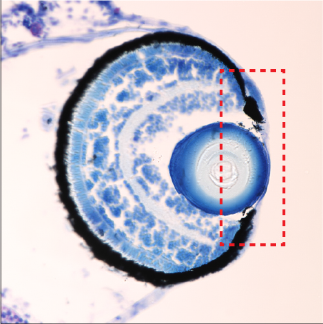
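A black pigmented layer lines the outside of the retina and ends at the rims of the cup beside the lens. Over the front of the lens only a very thin covering layer is seen.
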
